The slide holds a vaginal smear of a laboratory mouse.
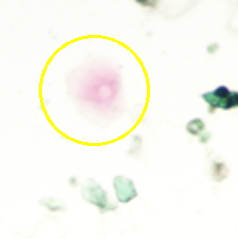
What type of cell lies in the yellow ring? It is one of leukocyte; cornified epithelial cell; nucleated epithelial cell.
The ringed cell is a nucleated epithelial cell.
